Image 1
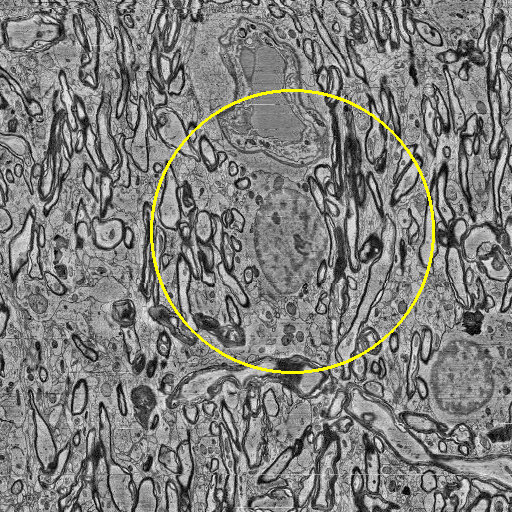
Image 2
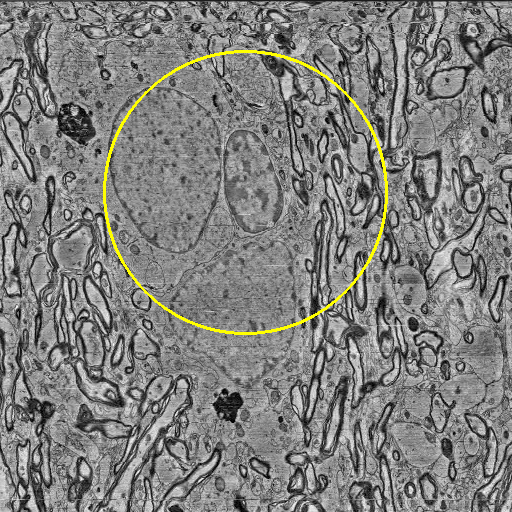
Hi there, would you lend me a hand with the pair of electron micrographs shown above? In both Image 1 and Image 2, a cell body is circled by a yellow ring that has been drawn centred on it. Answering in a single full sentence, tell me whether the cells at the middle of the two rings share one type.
No, the ringed cells in Image 1 and Image 2 belong to two types.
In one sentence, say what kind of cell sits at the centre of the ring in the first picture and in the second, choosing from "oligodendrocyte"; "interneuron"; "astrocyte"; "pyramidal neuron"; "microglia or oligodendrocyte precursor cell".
The first picture's ringed cell is an oligodendrocyte, while the second picture's is a microglial cell or oligodendrocyte precursor cell.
